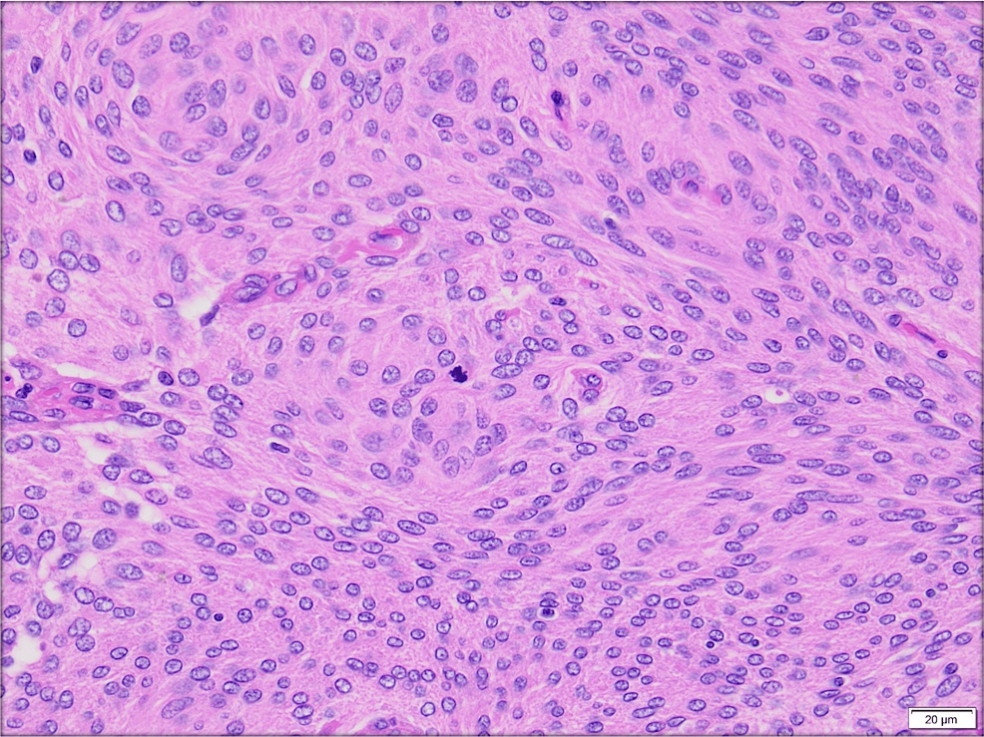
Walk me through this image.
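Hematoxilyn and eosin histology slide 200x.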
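Meningioma made of densely packed tumour cells arranged in swirling whorls and interlacing fascicles. The nuclei are oval to round, fairly uniform, with finely dispersed chromatin, and some are spindled within the fascicles. The cytoplasm is pale pink and fibrillary with indistinct cell borders, giving a syncytial appearance, and a few small vessels with pink walls run through the tumour. Near the centre lies a dark, clumped nucleus typical of a mitotic figure.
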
